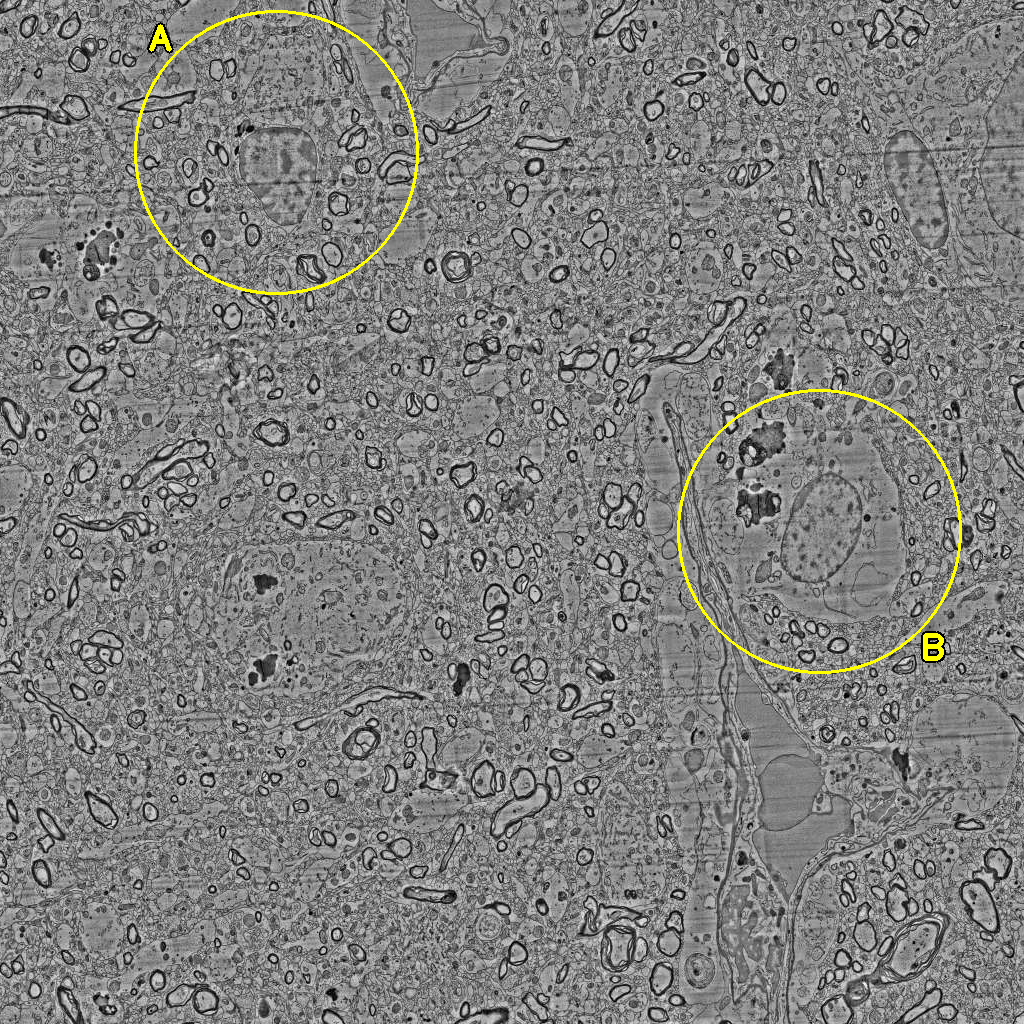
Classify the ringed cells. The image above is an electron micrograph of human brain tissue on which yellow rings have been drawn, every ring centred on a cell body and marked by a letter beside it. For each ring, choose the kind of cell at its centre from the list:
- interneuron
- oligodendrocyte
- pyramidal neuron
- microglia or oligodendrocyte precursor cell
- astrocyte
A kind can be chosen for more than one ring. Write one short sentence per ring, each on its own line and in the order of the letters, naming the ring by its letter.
Ring A is placed around a microglial cell or oligodendrocyte precursor cell.
Ring B is placed around an astrocyte.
